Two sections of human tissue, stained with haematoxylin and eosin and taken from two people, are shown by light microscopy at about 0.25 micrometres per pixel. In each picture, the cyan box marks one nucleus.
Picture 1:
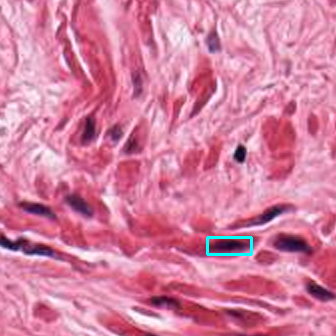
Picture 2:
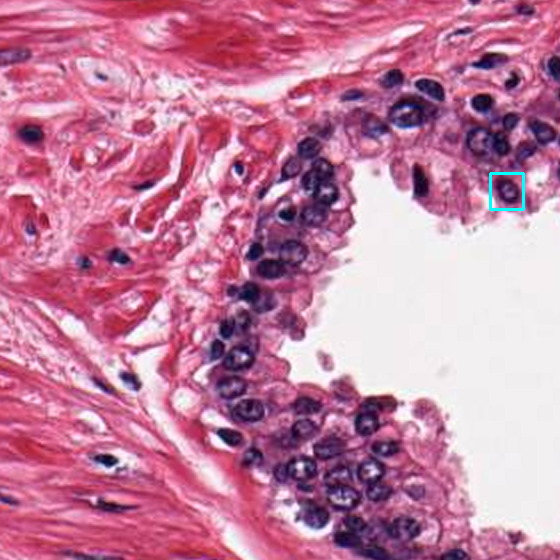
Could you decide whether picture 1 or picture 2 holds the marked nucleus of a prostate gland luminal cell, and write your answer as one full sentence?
The marked nucleus in picture 2 is the nucleus of a prostate gland luminal cell.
